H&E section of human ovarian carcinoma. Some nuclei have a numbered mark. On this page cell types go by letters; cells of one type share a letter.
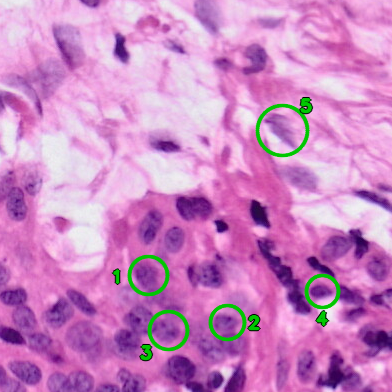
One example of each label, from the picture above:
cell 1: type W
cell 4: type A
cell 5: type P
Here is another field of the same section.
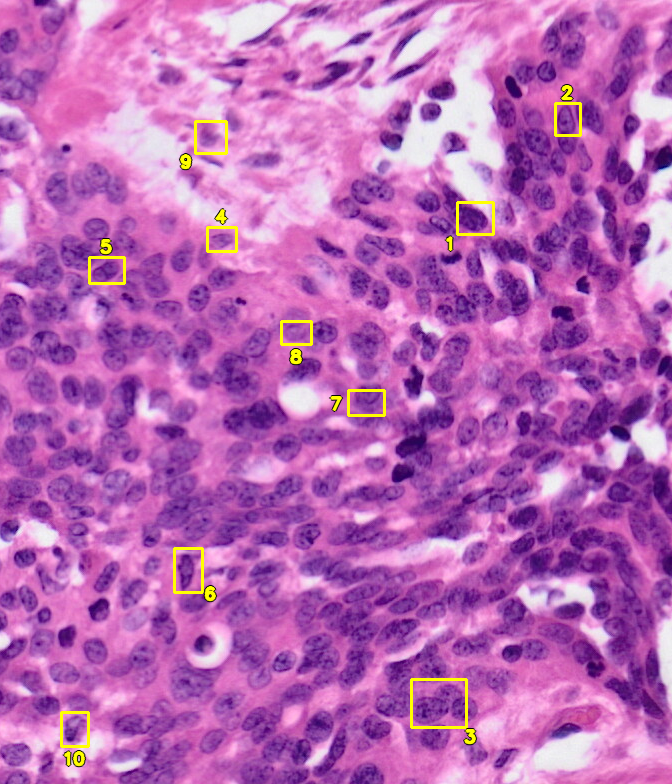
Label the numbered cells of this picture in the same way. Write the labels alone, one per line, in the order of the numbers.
type W
type W
type W
type A
type W
type A
type W
type W
type P
type A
